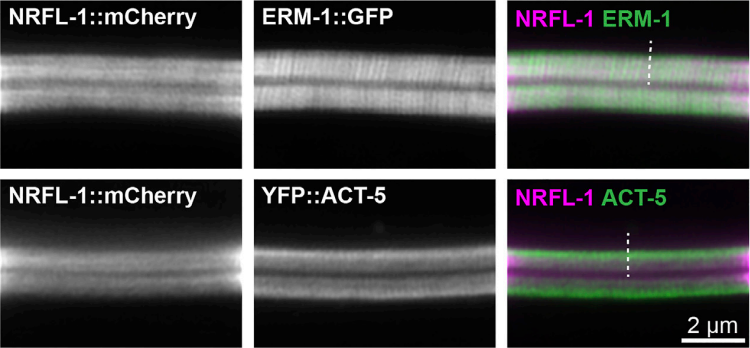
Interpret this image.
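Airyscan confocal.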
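These high-magnification views show the apical surface of intestinal cells lining the gut lumen. Two bright, parallel bands run horizontally, one on each side of a narrow dark central gap. In the best-resolved images, each band has fine, closely spaced striations running across its width. The magenta and green signals largely overlap within the bands. In the lower merged image, the green lies slightly farther from the central gap than the magenta.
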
